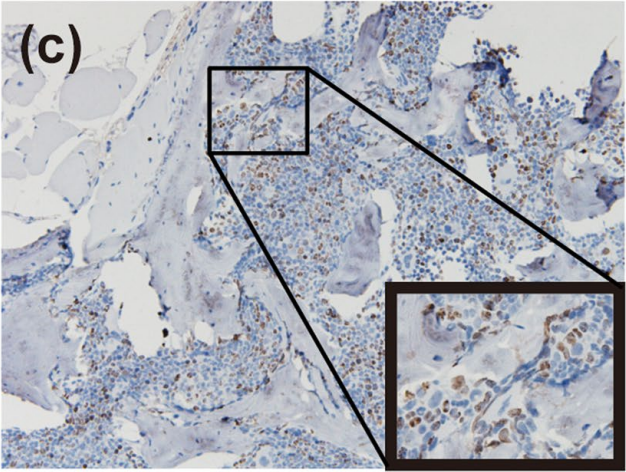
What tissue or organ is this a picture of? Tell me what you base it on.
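Pale grey-blue bony trabeculae separate spaces of densely packed small cells.
Hence: bone marrow.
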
